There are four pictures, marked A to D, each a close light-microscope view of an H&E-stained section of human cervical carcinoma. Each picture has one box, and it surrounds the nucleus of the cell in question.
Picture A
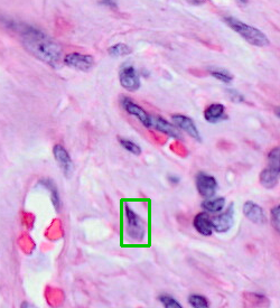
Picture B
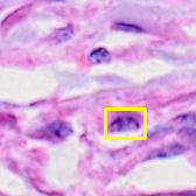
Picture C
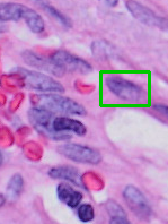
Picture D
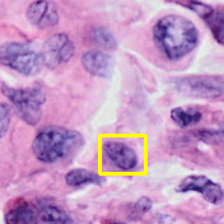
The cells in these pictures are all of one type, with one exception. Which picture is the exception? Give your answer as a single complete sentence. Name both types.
The different one is picture C; it shows an endothelial cell, whereas all the others show “macrophages or monocytes”.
